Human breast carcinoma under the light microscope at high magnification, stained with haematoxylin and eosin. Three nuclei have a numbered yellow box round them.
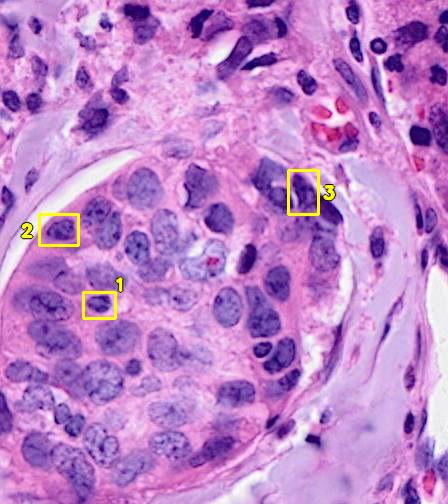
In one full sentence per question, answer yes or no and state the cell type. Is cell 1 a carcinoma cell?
No, the cell indicated by 1 is a lymphocyte instead of a carcinoma cell.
